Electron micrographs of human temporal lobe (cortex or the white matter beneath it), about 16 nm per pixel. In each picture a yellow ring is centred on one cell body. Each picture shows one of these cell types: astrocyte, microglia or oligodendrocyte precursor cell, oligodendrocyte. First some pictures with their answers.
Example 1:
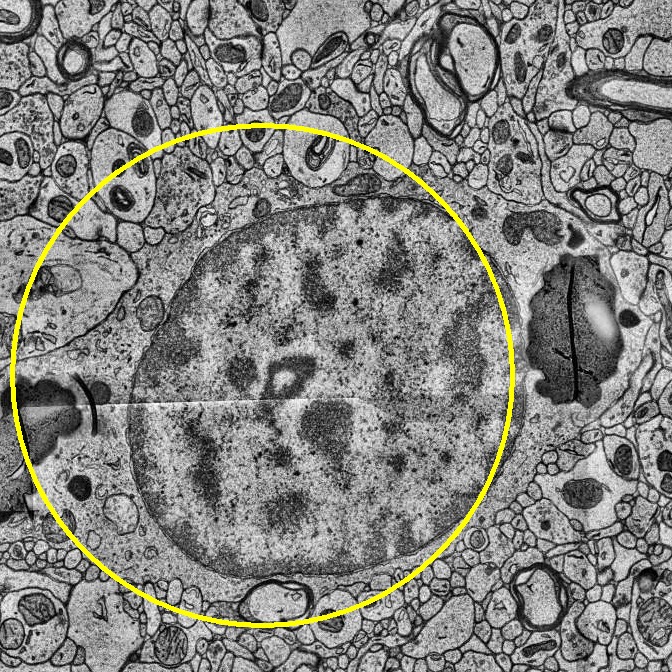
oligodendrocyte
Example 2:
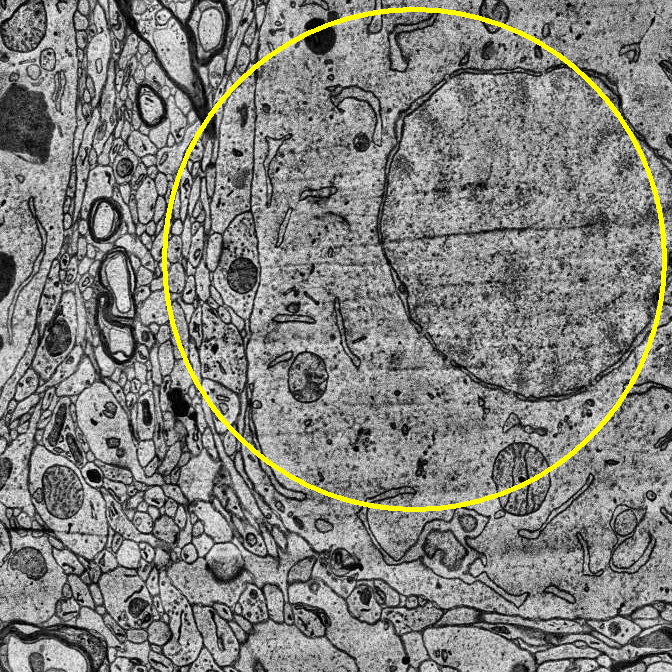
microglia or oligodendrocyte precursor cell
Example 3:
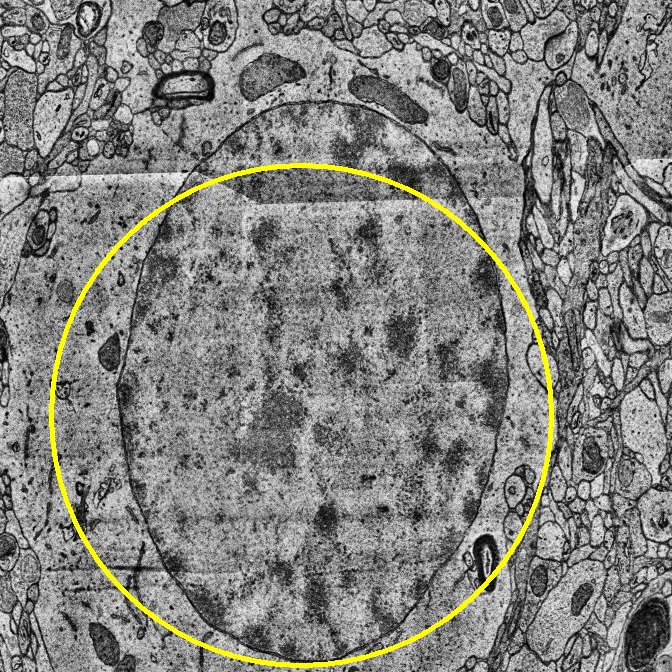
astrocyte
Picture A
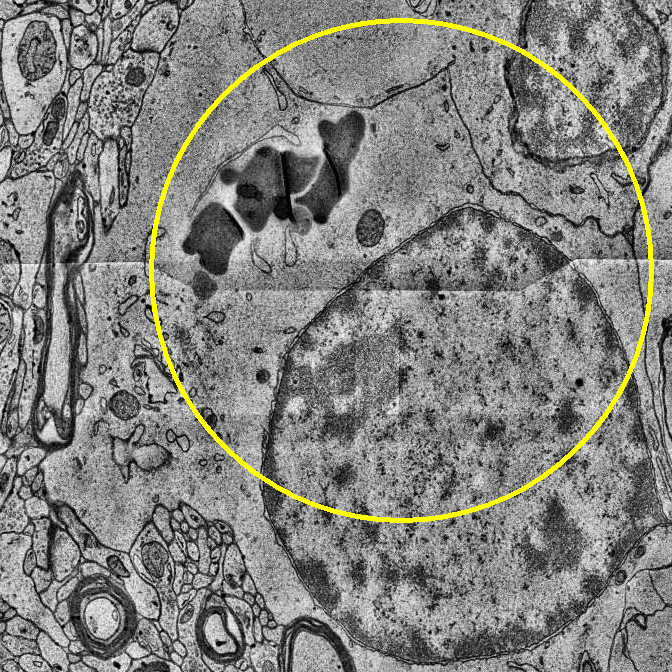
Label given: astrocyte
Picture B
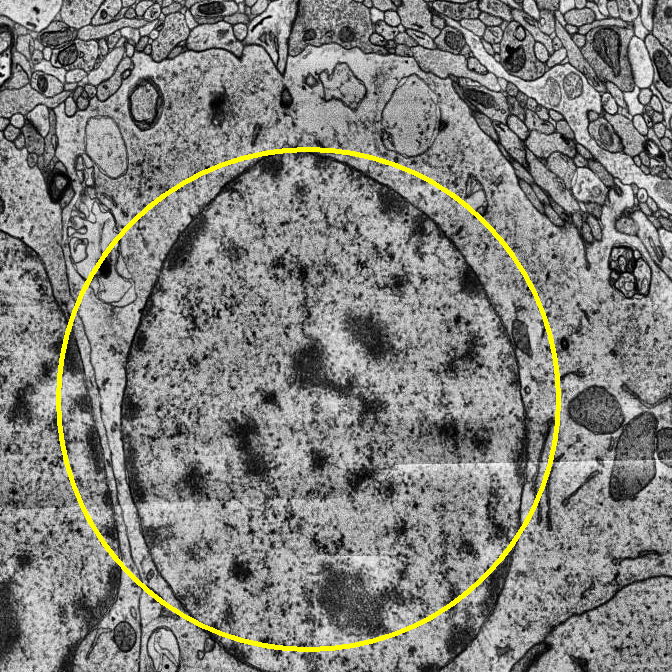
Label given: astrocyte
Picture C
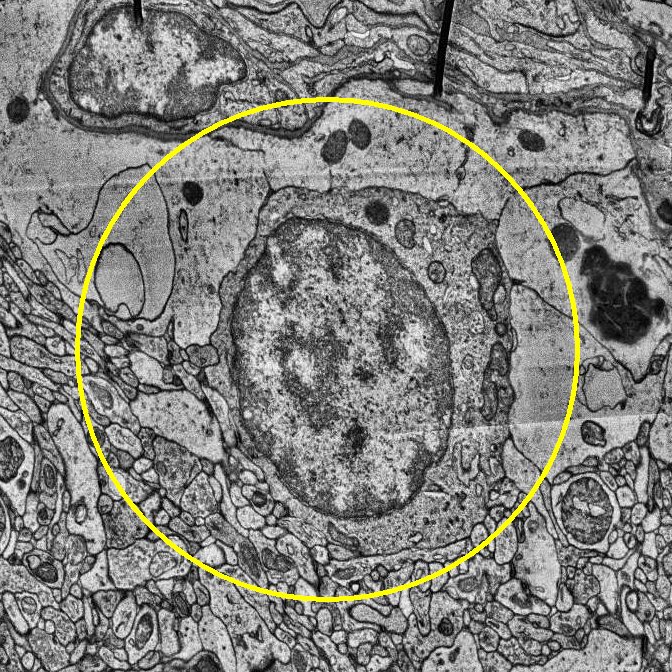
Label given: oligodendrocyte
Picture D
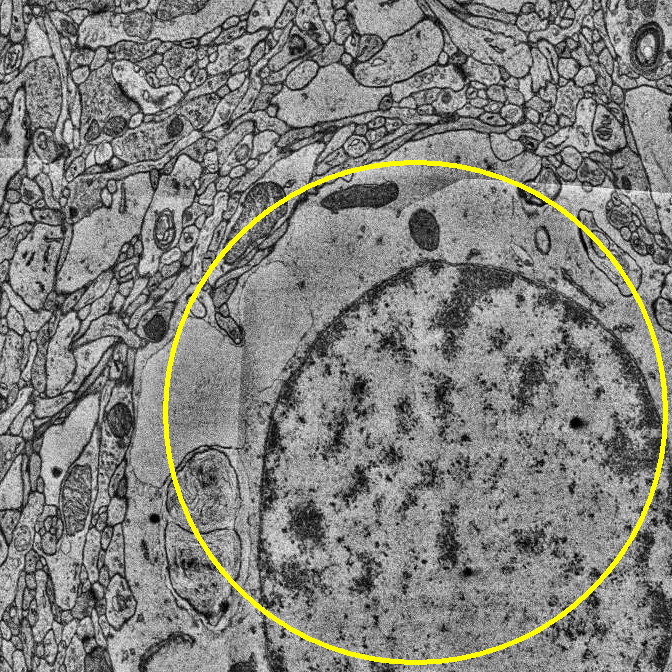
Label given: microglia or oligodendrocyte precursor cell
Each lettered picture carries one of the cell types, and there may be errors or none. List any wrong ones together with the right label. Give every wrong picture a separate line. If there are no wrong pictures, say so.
D should be astrocyte, not microglia or oligodendrocyte precursor cell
